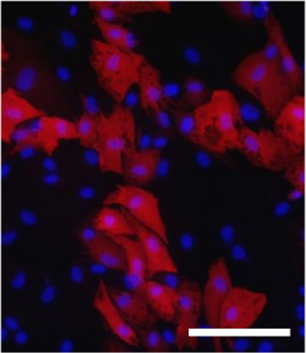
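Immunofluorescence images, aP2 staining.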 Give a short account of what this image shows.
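Cultured cells, a subset of which show strong red cytoplasmic fluorescence filling irregular, flattened to polygonal cell bodies. Blue oval nuclei are scattered throughout; many lie in cells without red signal. The red-filled cells occur singly and in loose clusters, with dark gaps of unstained area between them.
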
